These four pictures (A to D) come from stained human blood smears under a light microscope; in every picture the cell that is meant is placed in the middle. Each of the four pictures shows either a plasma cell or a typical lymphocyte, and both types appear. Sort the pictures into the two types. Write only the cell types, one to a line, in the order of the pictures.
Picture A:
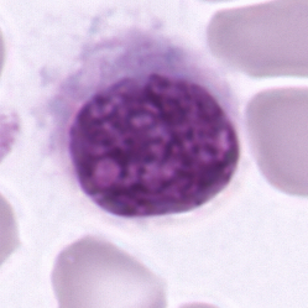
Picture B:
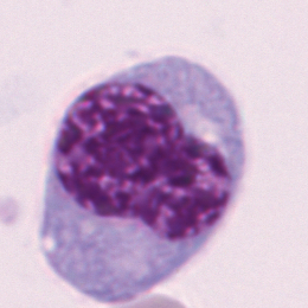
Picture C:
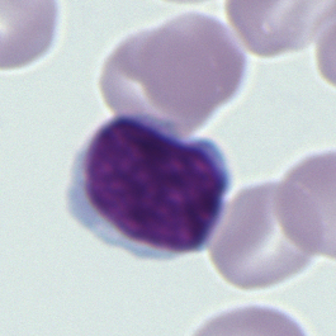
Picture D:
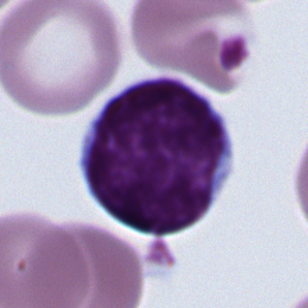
plasma cell
plasma cell
typical lymphocyte
typical lymphocyte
